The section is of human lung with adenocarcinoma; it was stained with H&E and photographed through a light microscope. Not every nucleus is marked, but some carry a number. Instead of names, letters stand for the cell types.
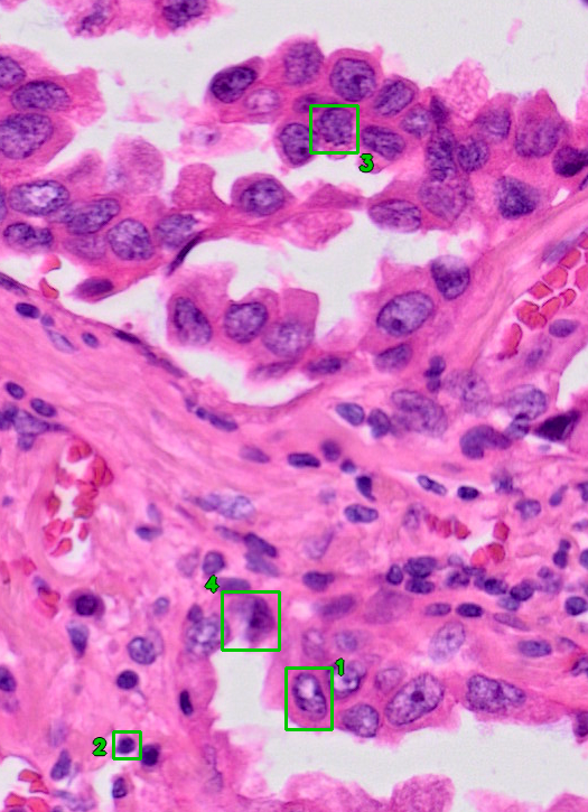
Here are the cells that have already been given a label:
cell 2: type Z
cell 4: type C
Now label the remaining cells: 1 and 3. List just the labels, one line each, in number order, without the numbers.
type C
type C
